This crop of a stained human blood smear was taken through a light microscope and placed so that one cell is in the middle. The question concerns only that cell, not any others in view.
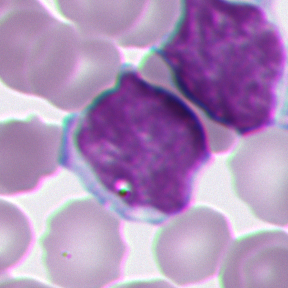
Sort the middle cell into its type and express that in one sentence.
The central element of this crop is a cell, namely a typical lymphocyte.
